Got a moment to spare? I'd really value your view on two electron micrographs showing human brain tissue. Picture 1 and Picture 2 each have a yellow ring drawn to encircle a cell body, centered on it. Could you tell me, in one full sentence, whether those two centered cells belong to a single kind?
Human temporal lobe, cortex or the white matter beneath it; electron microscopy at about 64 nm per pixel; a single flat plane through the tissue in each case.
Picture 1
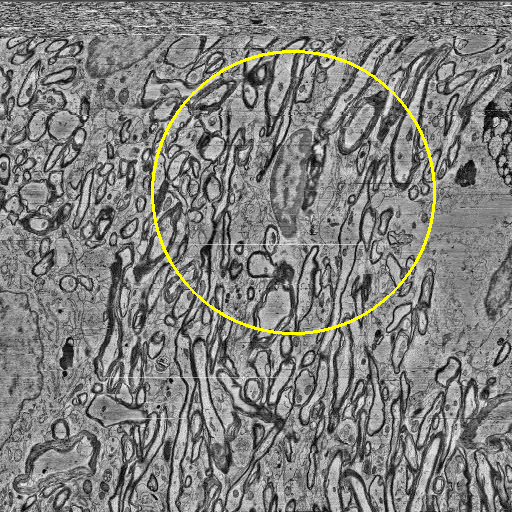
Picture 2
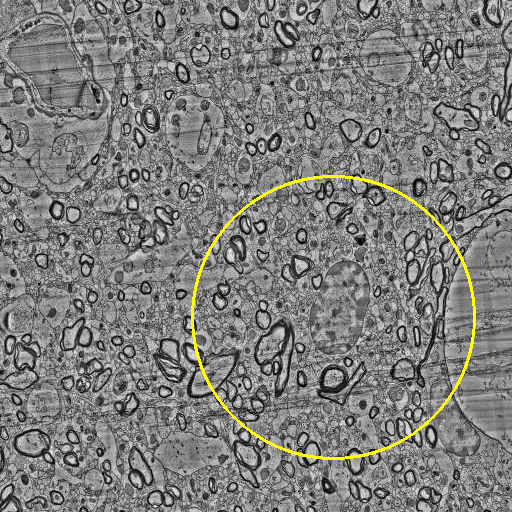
Yes, the two centered cells in Picture 1 and Picture 2 are of a single kind.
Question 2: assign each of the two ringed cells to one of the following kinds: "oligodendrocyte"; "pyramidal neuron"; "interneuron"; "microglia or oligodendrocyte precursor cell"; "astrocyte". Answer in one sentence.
Each of the two rings surrounds a microglial cell or oligodendrocyte precursor cell.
